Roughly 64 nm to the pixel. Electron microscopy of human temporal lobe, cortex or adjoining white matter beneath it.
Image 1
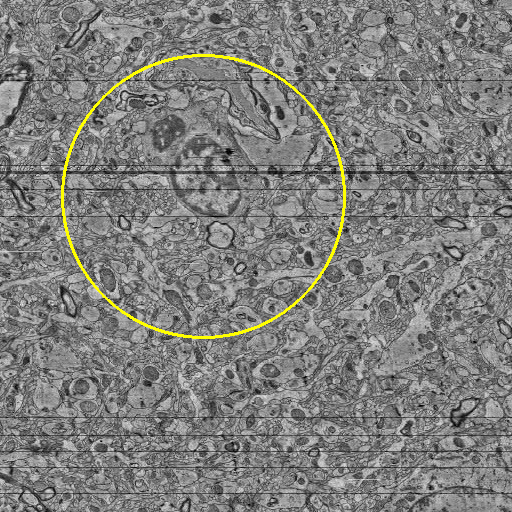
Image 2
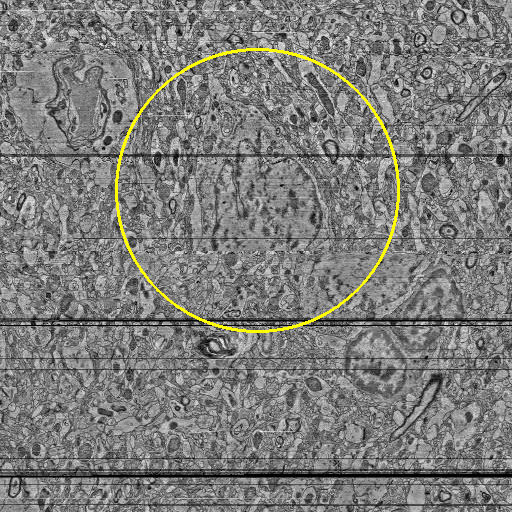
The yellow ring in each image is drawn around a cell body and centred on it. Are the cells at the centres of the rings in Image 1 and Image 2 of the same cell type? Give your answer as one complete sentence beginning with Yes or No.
No, the two cells are of two separate types.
